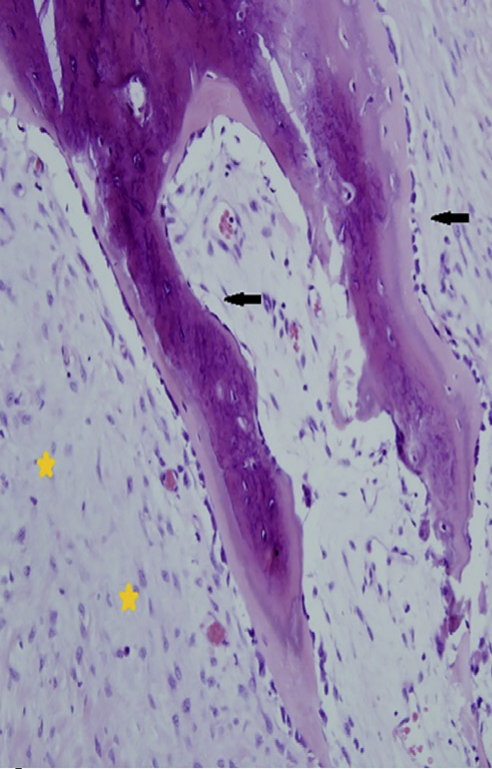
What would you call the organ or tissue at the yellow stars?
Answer: Spindle stroma.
